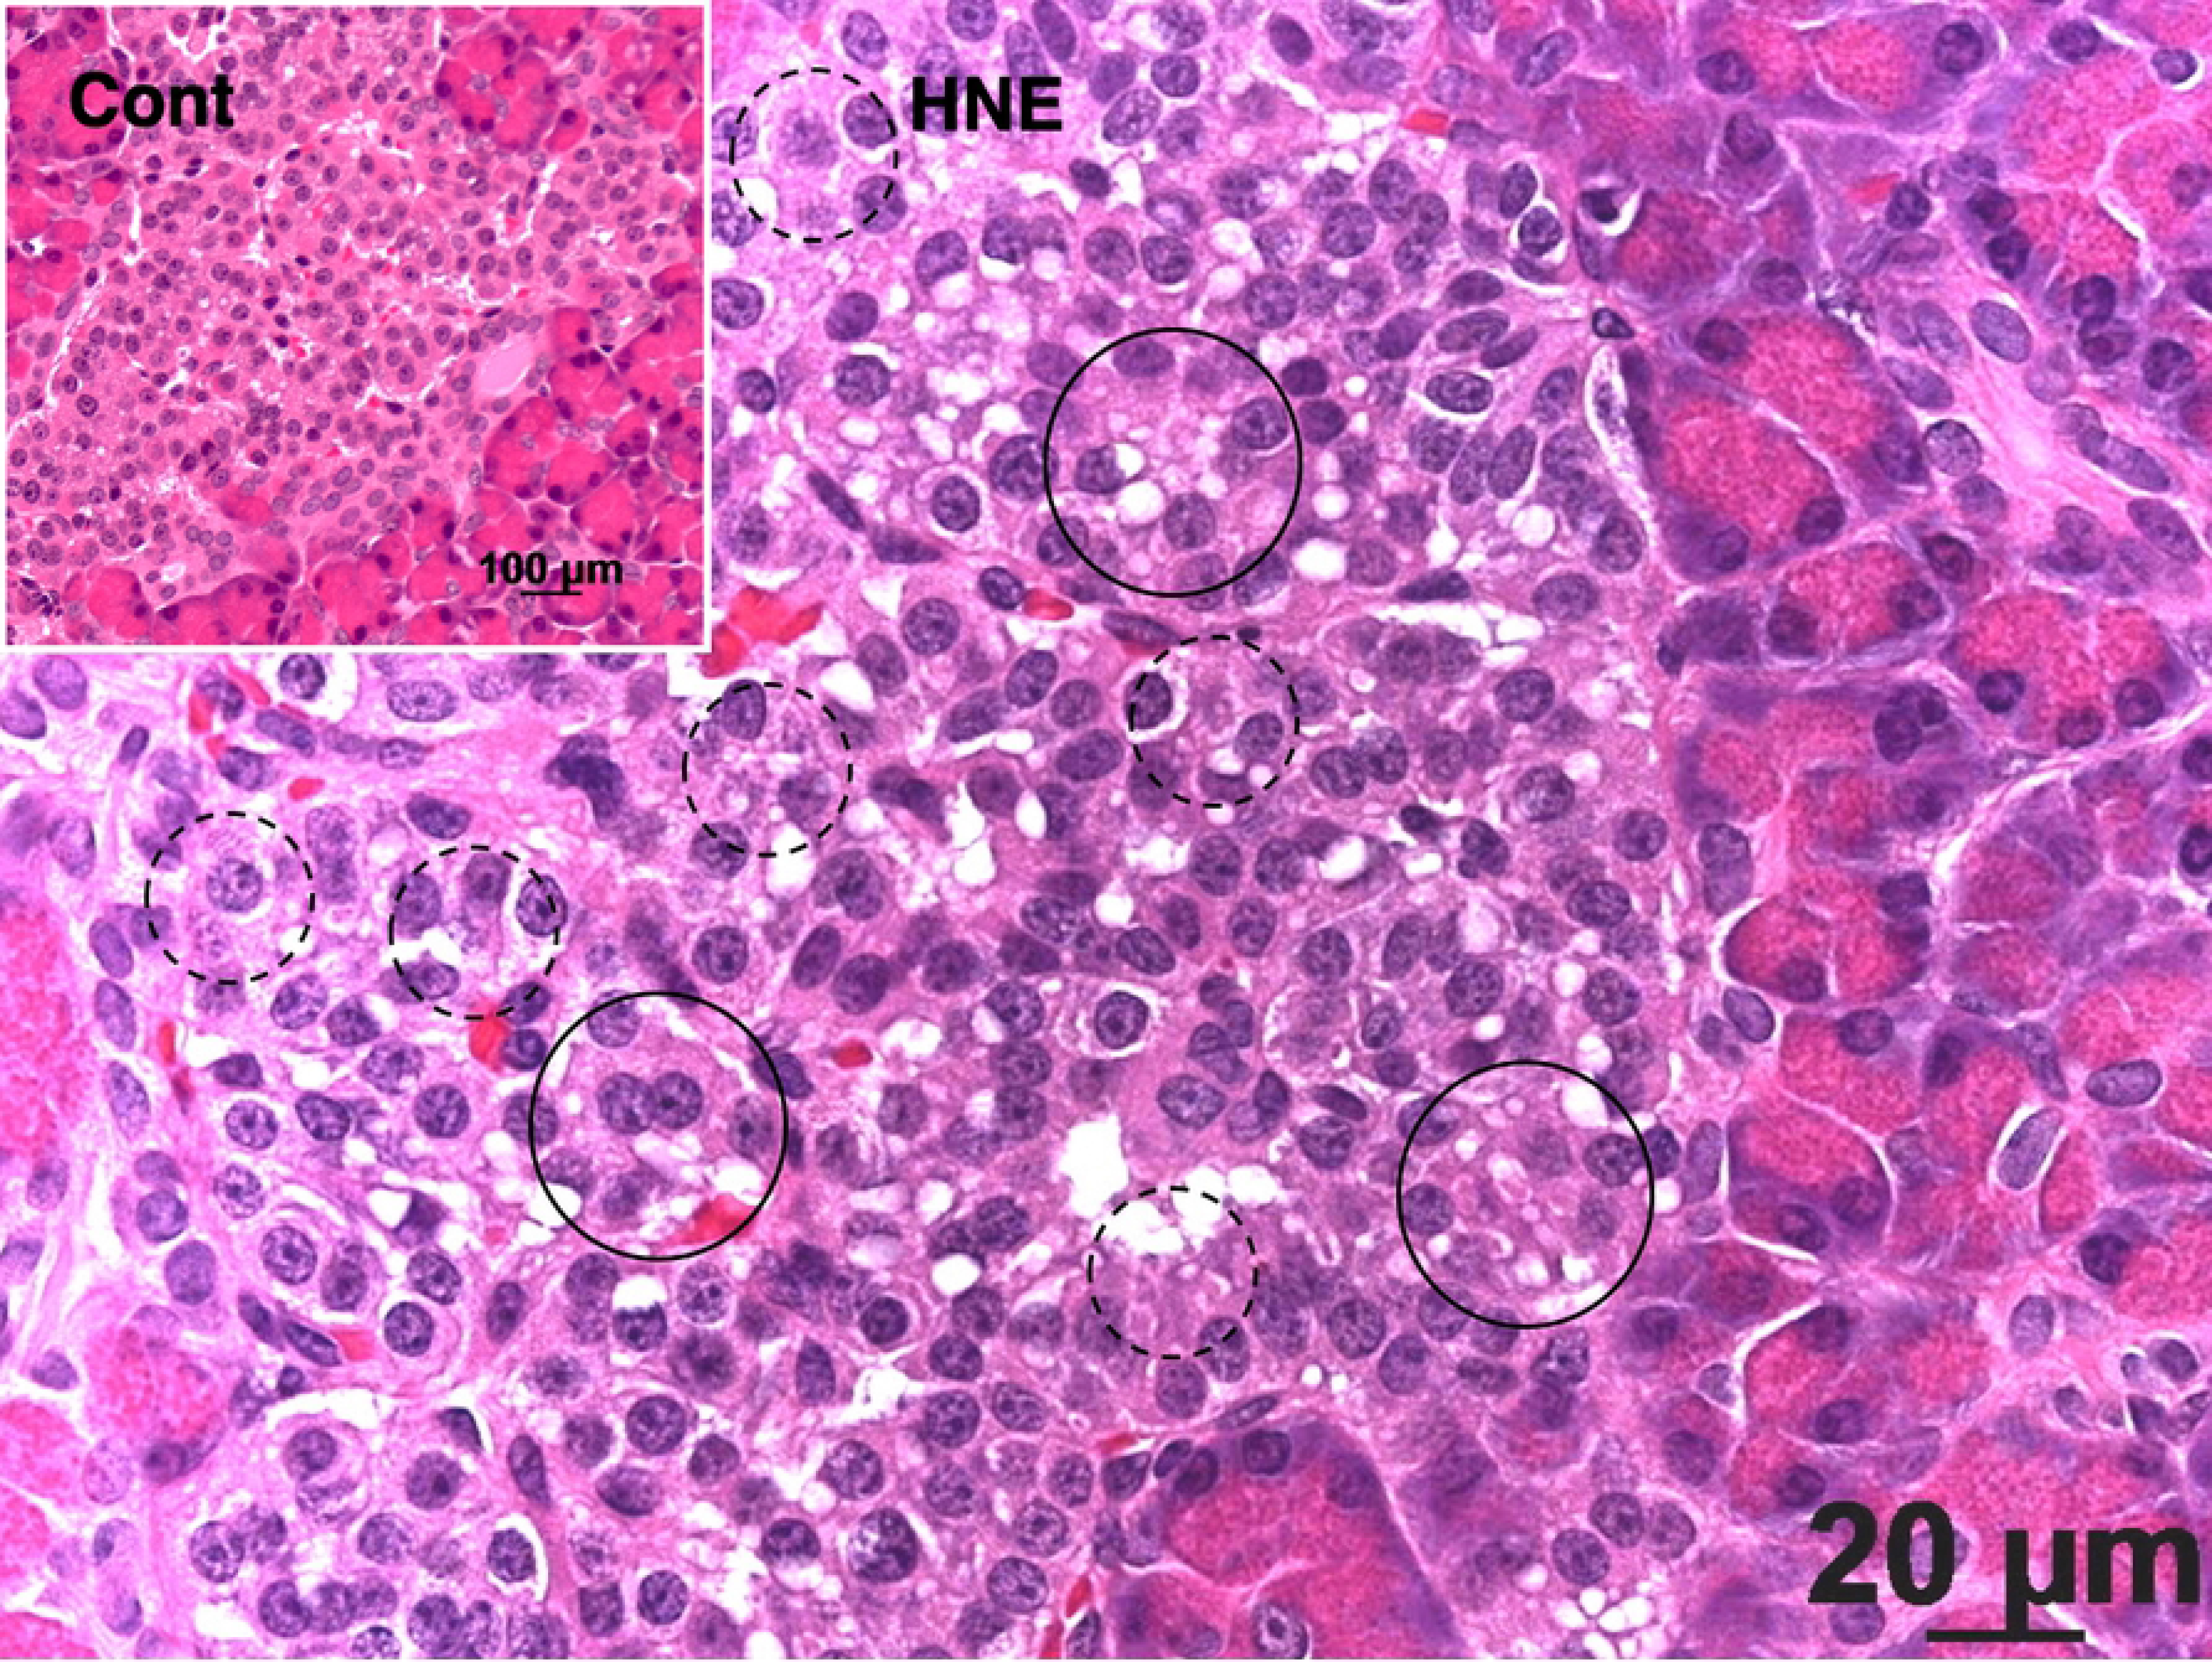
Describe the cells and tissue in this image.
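This is a Langerhans islet of the pancreas at high magnification, with acinar cells bordering it. The islet cells are packed closely, with round to oval purple nuclei and pale pink cytoplasm. Many round clear vacuoles of varying size are scattered through the islet cytoplasm, some clustered in groups. A few nuclei look pale and washed out or speckled, unlike their evenly stained neighbours. Toward the right and bottom edges lie acinar cells, recognisable by their intensely pink granular cytoplasm arranged in clusters, with a few red blood cells in small vessels between the two.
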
